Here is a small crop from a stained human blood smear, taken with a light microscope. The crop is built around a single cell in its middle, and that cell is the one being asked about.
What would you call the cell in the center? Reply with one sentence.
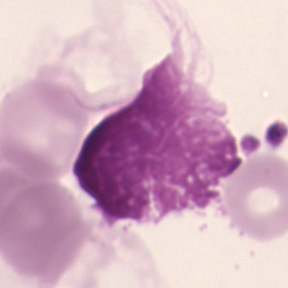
This crop's central cell is a smudge cell.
